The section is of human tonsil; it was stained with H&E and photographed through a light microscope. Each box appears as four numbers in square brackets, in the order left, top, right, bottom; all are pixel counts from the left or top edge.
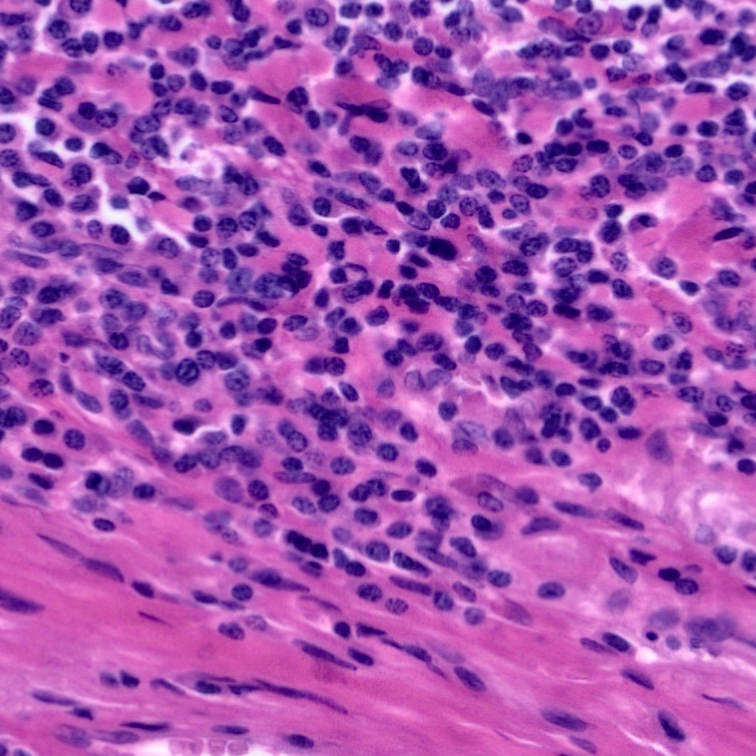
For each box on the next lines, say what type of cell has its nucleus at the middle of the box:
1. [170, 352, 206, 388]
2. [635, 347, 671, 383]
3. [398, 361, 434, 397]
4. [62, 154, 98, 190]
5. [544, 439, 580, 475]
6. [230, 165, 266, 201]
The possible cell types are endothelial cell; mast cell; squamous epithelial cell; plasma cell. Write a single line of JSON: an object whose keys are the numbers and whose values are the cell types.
{"1": "plasma cell", "2": "plasma cell", "3": "endothelial cell", "4": "plasma cell", "5": "mast cell", "6": "plasma cell"}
